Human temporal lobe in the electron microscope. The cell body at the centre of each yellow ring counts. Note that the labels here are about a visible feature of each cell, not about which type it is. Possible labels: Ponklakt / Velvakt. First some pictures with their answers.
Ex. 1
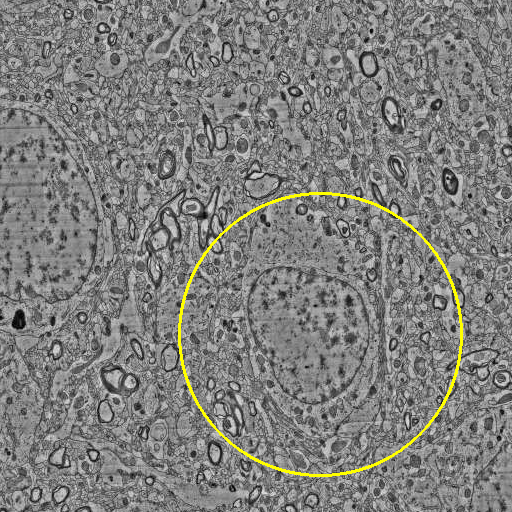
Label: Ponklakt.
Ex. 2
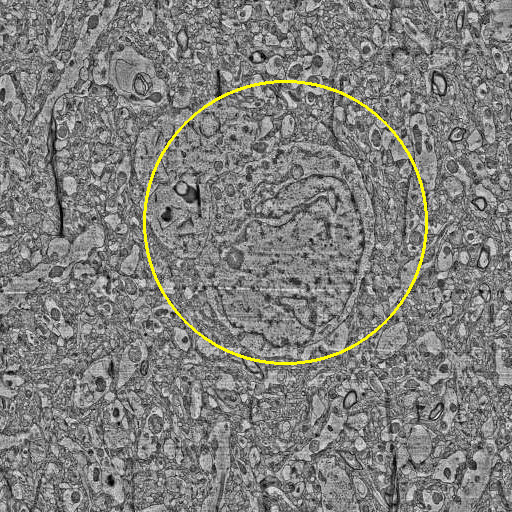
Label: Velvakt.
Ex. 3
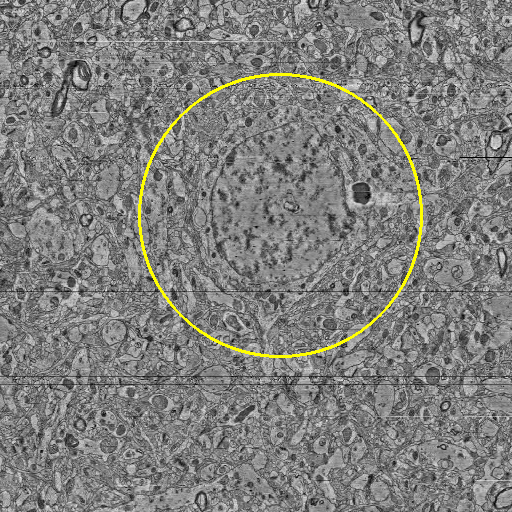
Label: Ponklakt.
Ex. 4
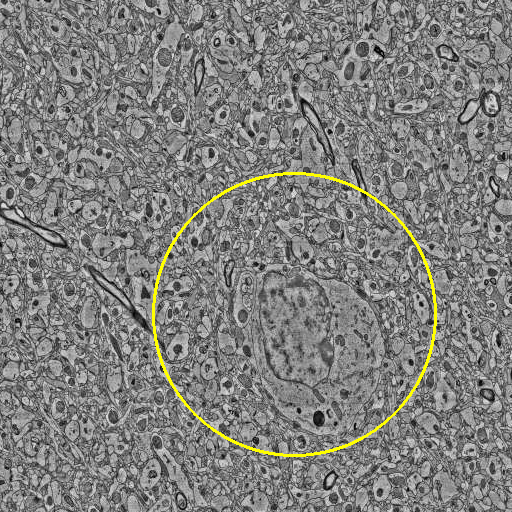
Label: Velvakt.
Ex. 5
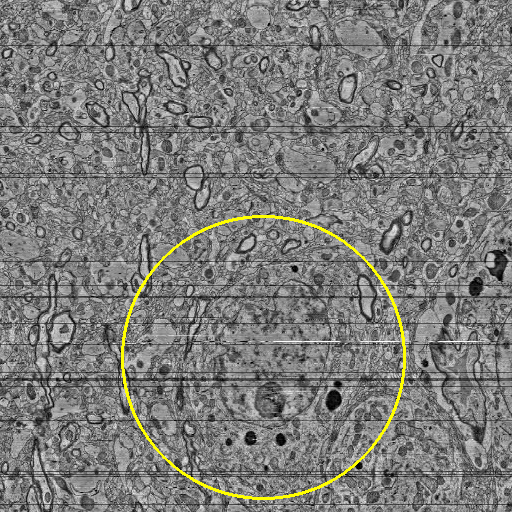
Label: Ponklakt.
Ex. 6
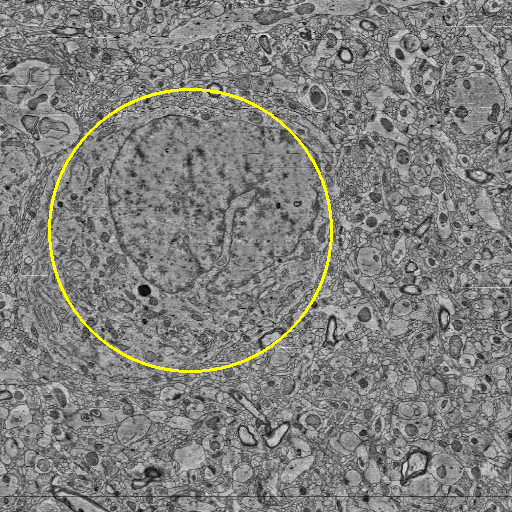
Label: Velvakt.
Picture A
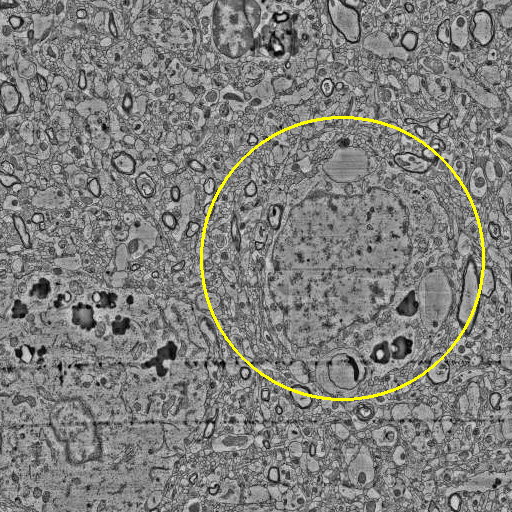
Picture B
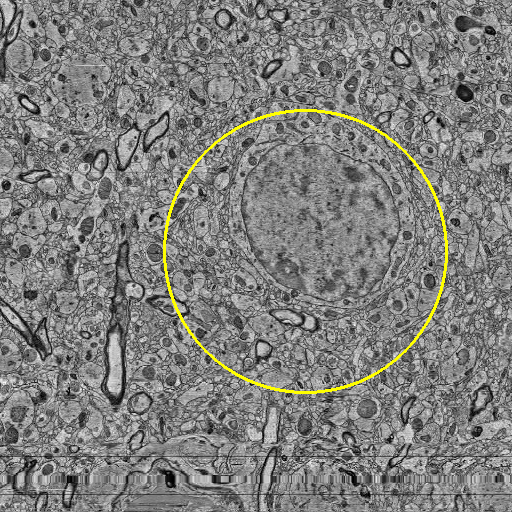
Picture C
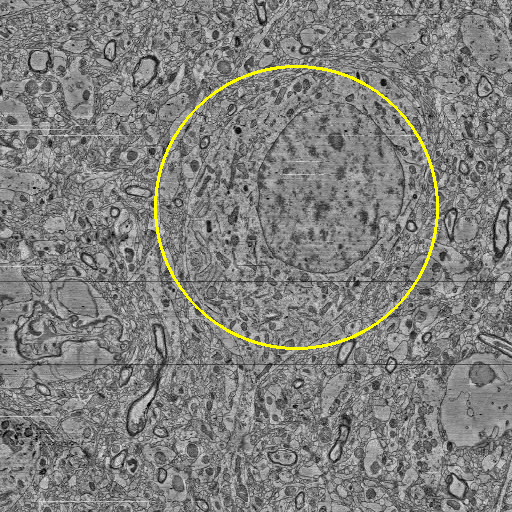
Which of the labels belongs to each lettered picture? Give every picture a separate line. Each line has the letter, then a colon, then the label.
A: Ponklakt.
B: Ponklakt.
C: Ponklakt.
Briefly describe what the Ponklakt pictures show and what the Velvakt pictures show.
Ponklakt, smooth nuclear envelopes without deep folds; Velvakt, deeply folded or indented nuclear envelopes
